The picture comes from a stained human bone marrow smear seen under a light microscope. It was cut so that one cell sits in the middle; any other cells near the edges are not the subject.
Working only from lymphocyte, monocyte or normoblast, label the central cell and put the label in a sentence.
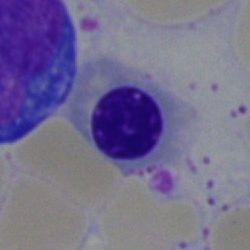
Framed in the middle of the crop is a normoblast.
